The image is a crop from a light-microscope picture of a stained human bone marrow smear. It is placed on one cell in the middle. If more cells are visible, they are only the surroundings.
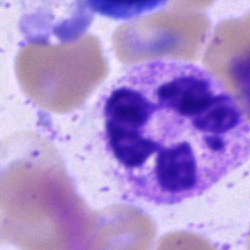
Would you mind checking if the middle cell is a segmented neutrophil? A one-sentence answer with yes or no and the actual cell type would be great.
Yes, the cell that the crop is centered on is a segmented neutrophil.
